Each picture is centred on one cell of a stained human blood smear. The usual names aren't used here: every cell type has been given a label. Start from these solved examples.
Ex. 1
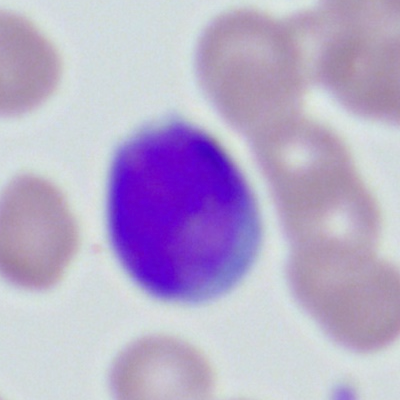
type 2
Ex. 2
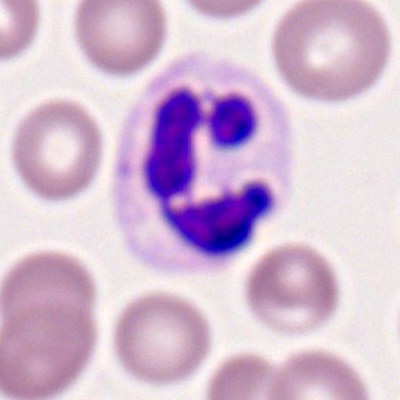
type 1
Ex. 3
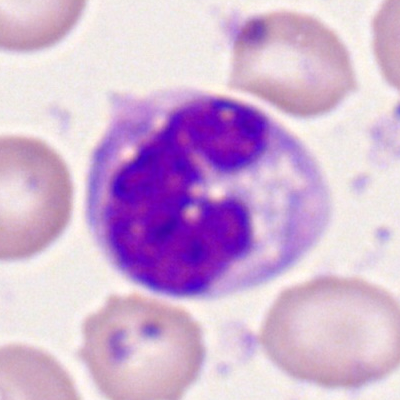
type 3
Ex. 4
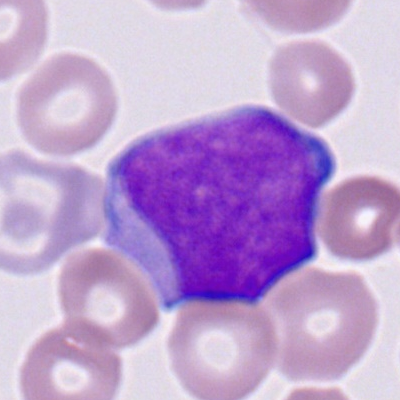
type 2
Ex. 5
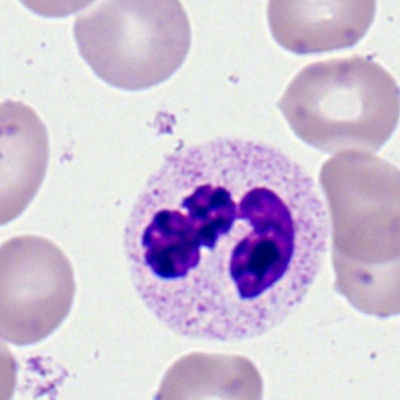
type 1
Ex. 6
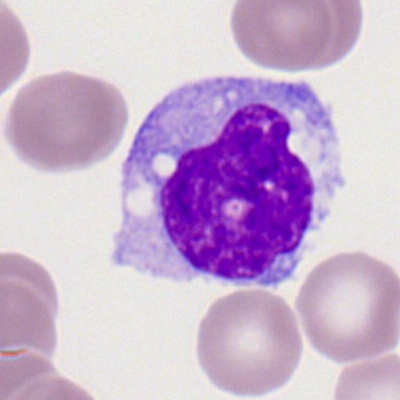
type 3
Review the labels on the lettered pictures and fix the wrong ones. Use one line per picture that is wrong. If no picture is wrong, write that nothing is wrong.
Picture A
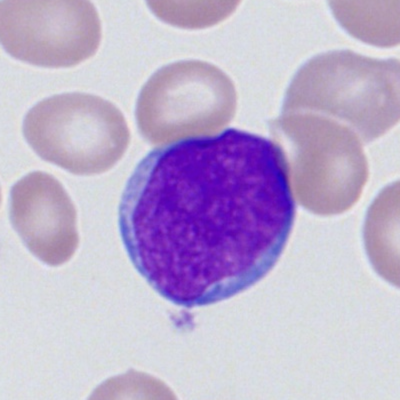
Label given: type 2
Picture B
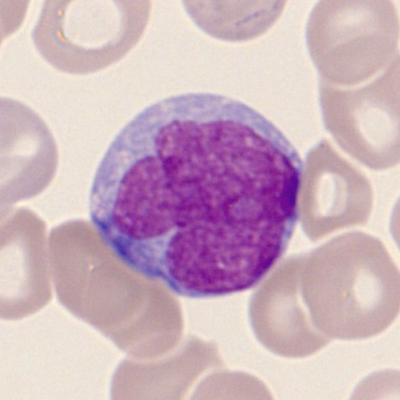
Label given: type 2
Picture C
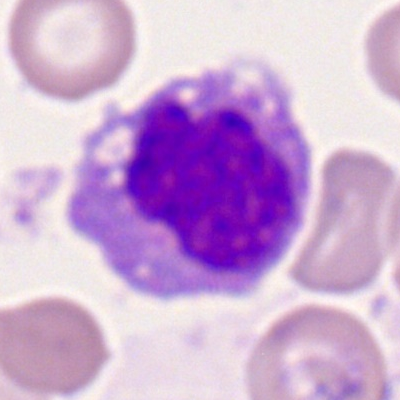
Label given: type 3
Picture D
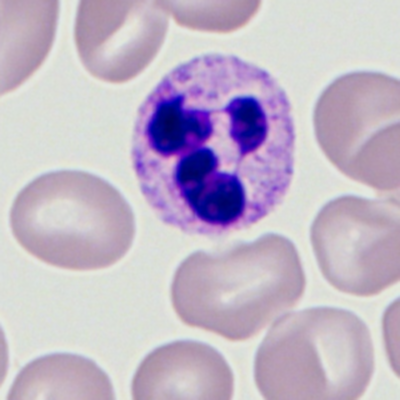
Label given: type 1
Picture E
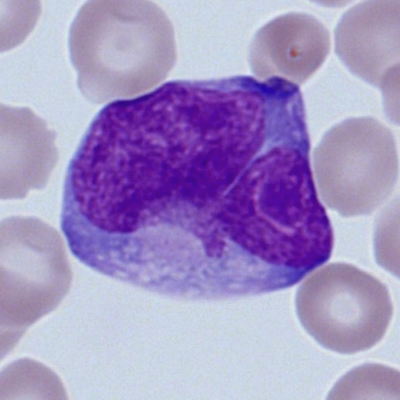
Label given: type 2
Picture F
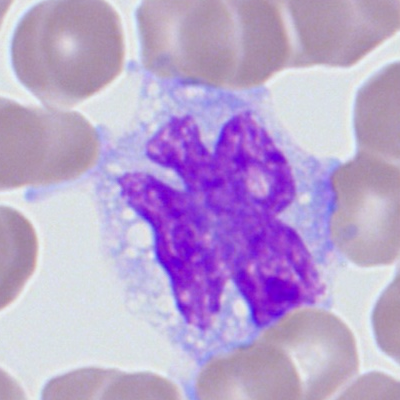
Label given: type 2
Wrong: F (type 2); correct: type 3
